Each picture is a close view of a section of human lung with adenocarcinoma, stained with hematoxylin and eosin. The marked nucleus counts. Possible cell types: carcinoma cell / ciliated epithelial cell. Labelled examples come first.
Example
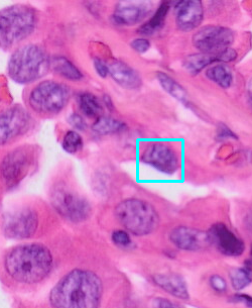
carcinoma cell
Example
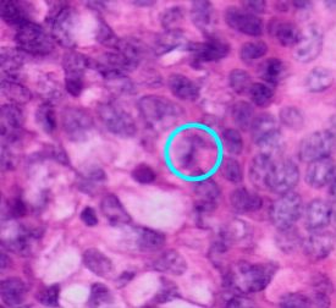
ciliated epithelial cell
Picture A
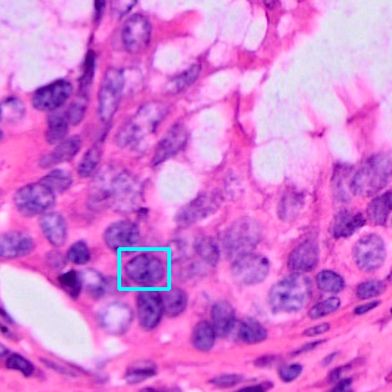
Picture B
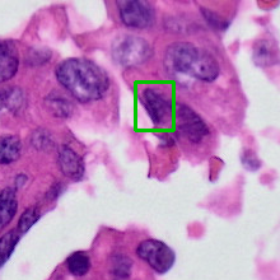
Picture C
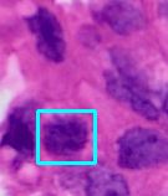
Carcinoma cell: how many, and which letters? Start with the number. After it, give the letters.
2: B, C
